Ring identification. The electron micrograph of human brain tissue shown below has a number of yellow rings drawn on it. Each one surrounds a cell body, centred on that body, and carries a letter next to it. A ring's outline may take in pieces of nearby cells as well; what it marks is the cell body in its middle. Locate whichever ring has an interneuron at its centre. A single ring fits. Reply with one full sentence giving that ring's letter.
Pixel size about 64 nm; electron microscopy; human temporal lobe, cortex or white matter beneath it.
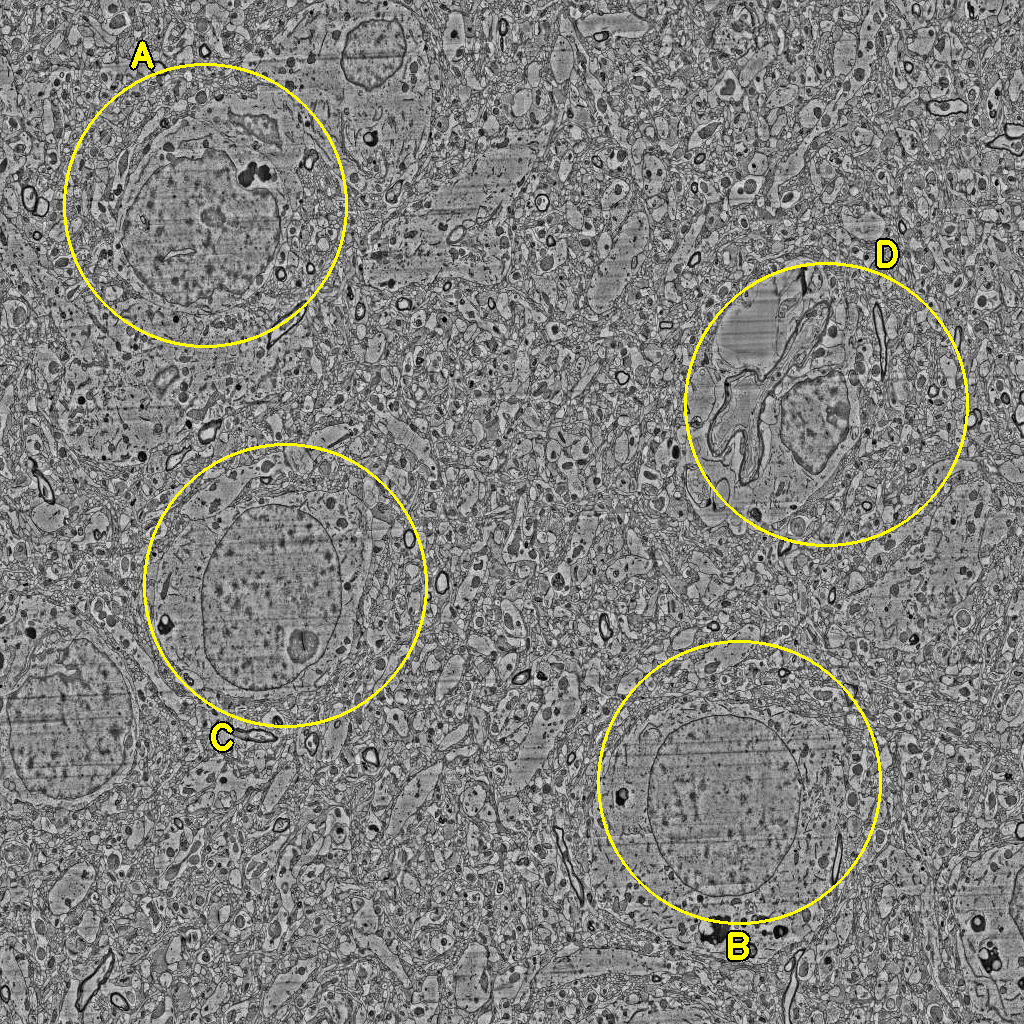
The letter A belongs to the ring centred on a cell of that kind.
